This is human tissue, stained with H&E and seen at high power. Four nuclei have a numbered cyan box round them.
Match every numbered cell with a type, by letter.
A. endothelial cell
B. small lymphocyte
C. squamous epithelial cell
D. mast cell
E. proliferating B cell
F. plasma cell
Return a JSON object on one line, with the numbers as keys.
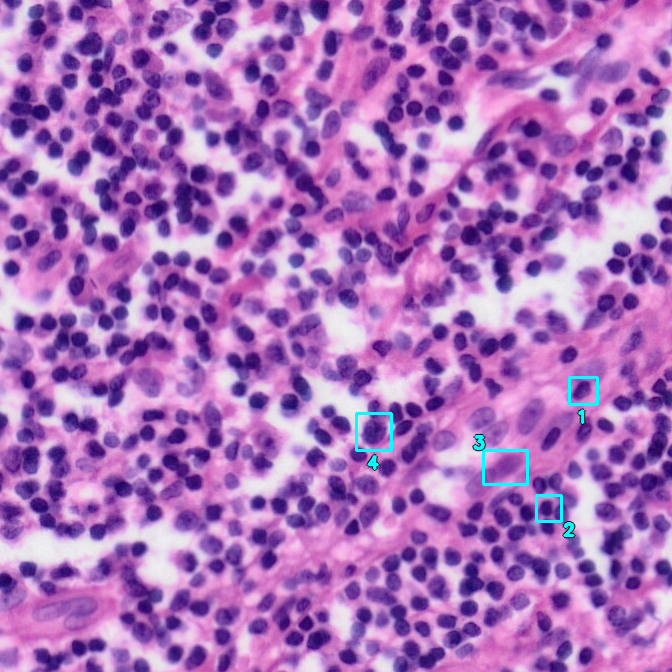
{"1": "A", "2": "B", "3": "A", "4": "E"}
